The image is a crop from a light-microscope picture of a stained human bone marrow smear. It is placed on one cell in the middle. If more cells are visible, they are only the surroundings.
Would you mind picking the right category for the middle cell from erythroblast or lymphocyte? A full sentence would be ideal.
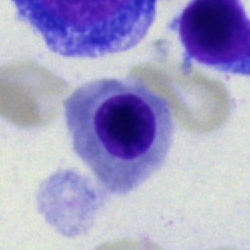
The cell of interest, located centrally, is an erythroblast.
